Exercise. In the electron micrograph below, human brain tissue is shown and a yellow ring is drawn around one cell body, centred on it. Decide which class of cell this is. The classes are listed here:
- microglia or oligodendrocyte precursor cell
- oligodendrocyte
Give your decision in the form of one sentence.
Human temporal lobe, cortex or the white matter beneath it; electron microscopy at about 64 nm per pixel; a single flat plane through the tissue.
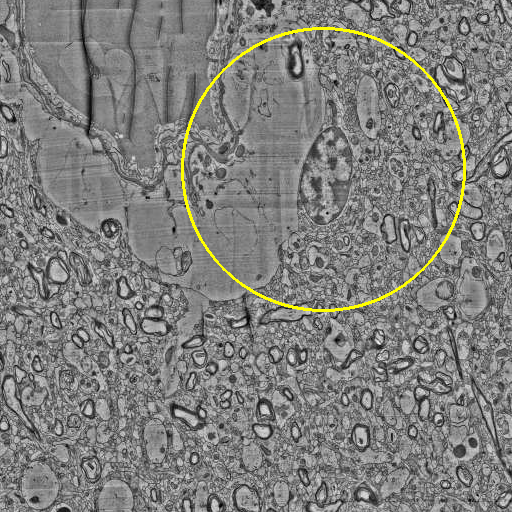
The cell body marked by the ring belongs to a microglial cell or oligodendrocyte precursor cell.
